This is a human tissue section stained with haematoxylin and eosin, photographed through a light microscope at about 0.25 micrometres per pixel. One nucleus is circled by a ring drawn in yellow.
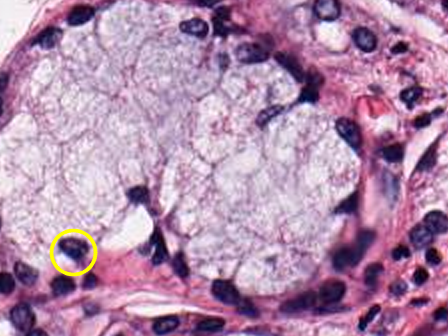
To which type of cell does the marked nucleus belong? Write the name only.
mucous gland cell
